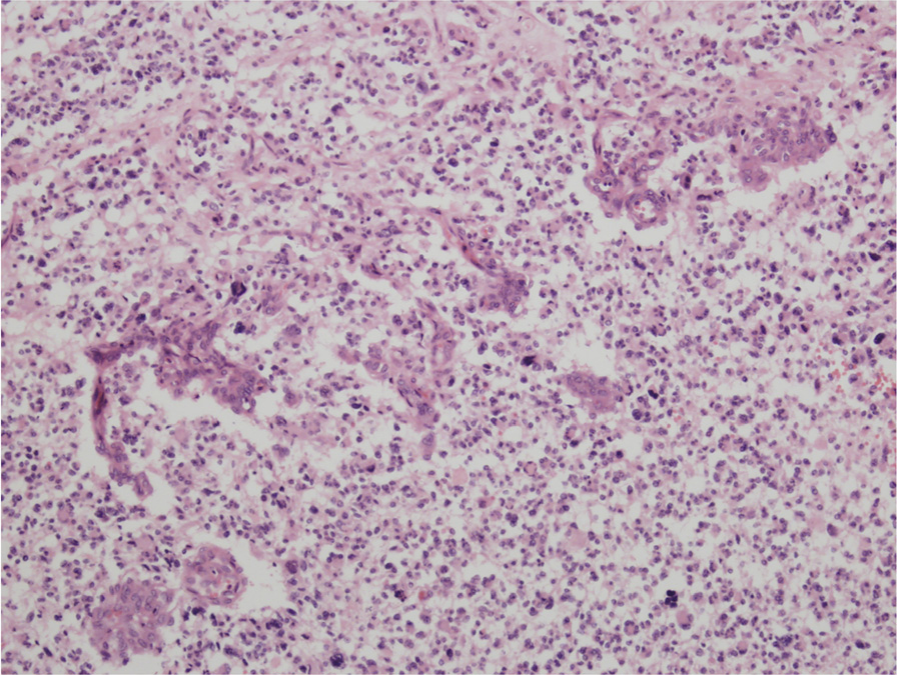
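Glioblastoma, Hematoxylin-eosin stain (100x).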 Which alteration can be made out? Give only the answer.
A: Glomeruloid formations.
